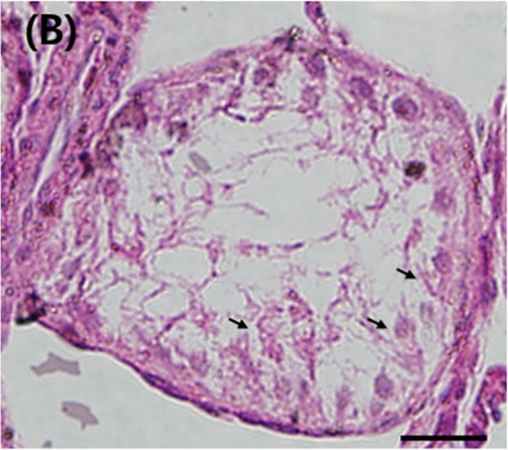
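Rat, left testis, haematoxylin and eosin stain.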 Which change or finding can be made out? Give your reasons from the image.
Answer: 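A narrow germinal cell layer. Only a few scattered nuclei line the tubule wall. There are no layered rows of cells running from the wall toward the lumen. Most of the tubule is filled by loose, pale, vacuolated material.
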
